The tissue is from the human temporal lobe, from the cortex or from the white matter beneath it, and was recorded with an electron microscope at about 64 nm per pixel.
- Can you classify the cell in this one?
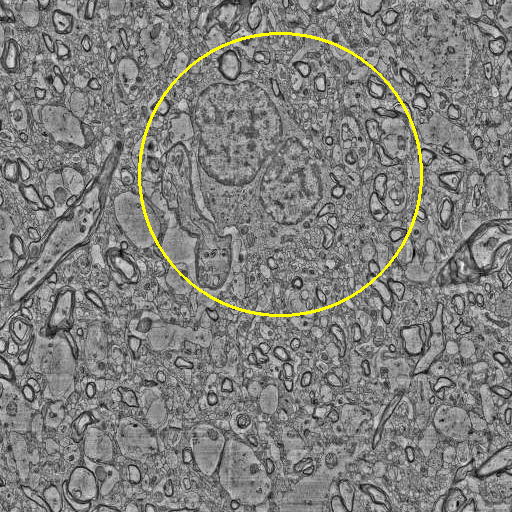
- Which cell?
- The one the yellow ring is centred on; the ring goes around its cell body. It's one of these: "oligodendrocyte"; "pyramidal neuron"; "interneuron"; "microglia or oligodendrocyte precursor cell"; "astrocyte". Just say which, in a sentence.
The cell body in the ring belongs to an oligodendrocyte.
